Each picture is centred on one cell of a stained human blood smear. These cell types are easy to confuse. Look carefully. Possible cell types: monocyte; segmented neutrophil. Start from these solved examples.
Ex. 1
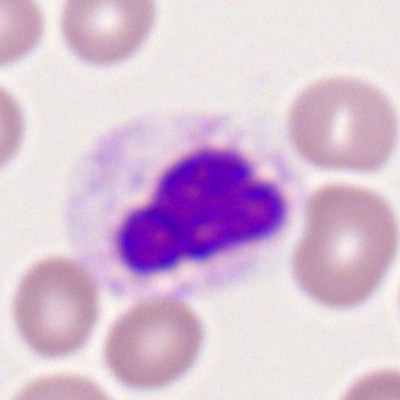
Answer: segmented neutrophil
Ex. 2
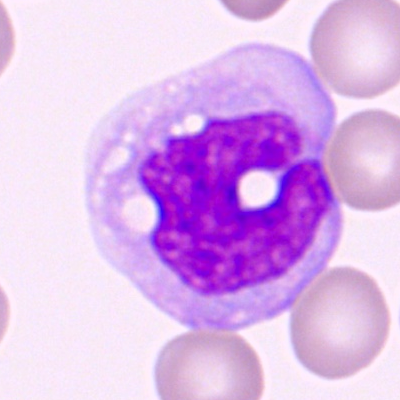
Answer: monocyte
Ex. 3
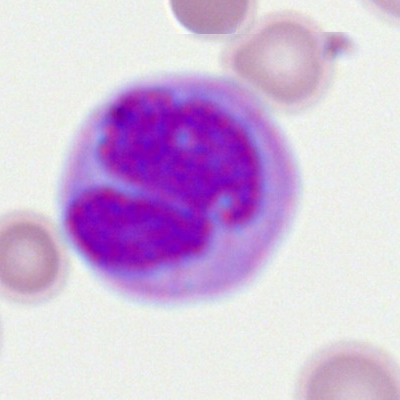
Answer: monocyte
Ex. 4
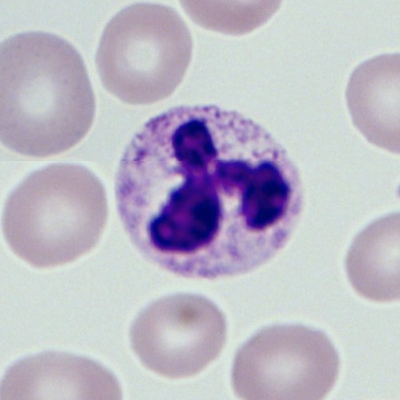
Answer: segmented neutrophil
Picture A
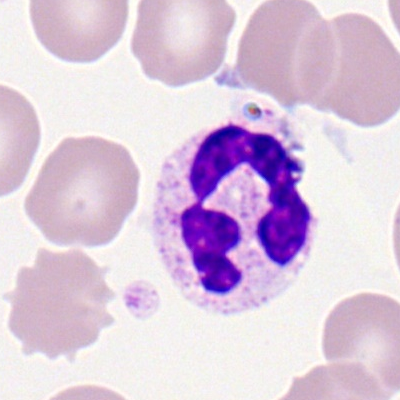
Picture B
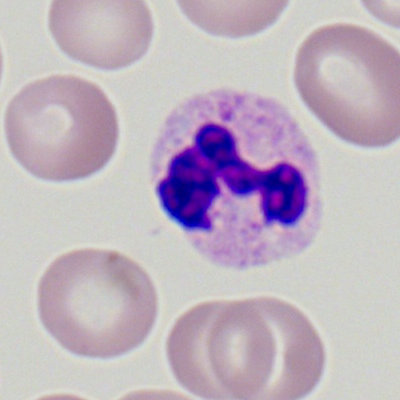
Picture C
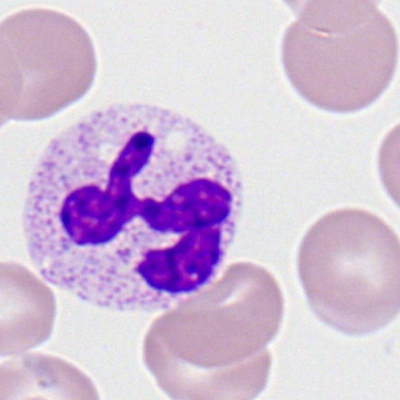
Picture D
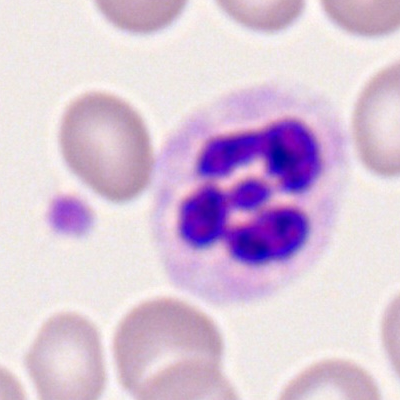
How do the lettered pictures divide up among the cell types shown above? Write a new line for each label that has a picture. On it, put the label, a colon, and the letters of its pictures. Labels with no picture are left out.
segmented neutrophil: A, B, C, D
